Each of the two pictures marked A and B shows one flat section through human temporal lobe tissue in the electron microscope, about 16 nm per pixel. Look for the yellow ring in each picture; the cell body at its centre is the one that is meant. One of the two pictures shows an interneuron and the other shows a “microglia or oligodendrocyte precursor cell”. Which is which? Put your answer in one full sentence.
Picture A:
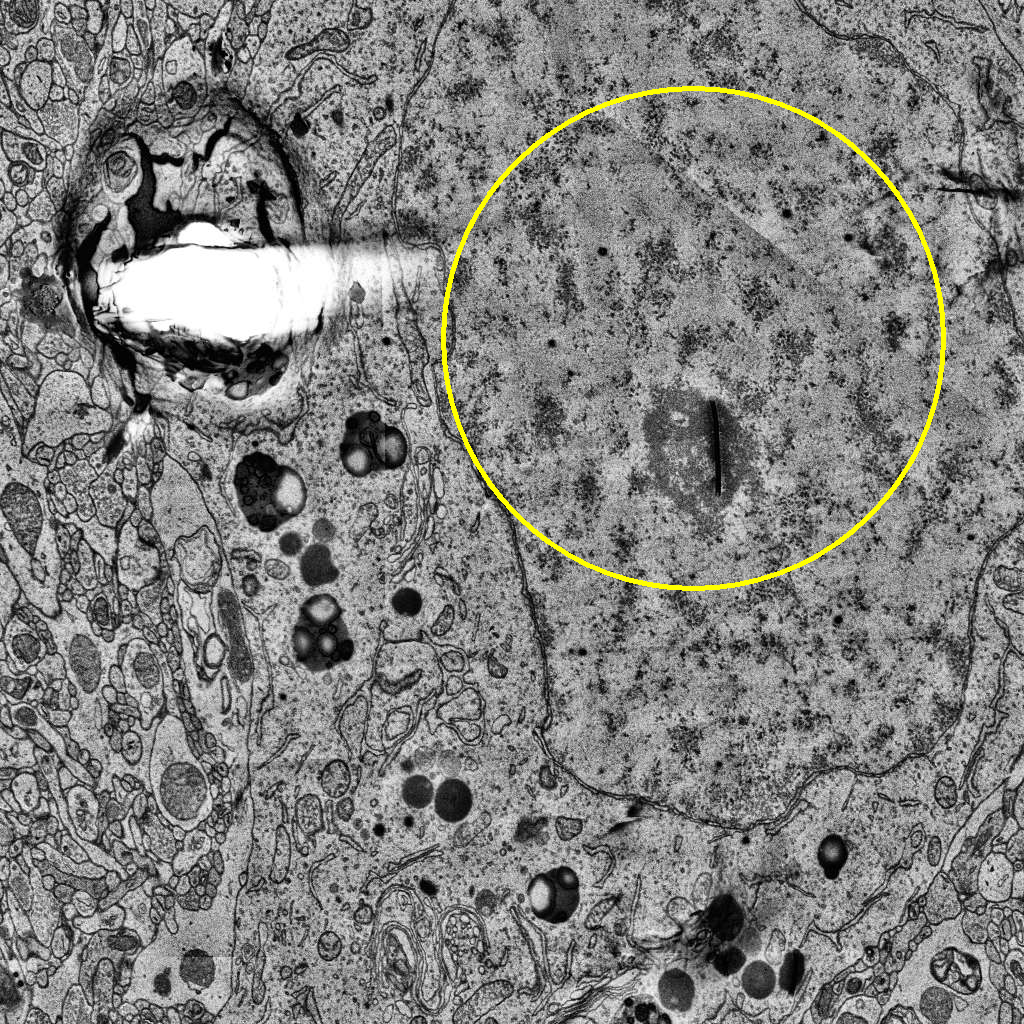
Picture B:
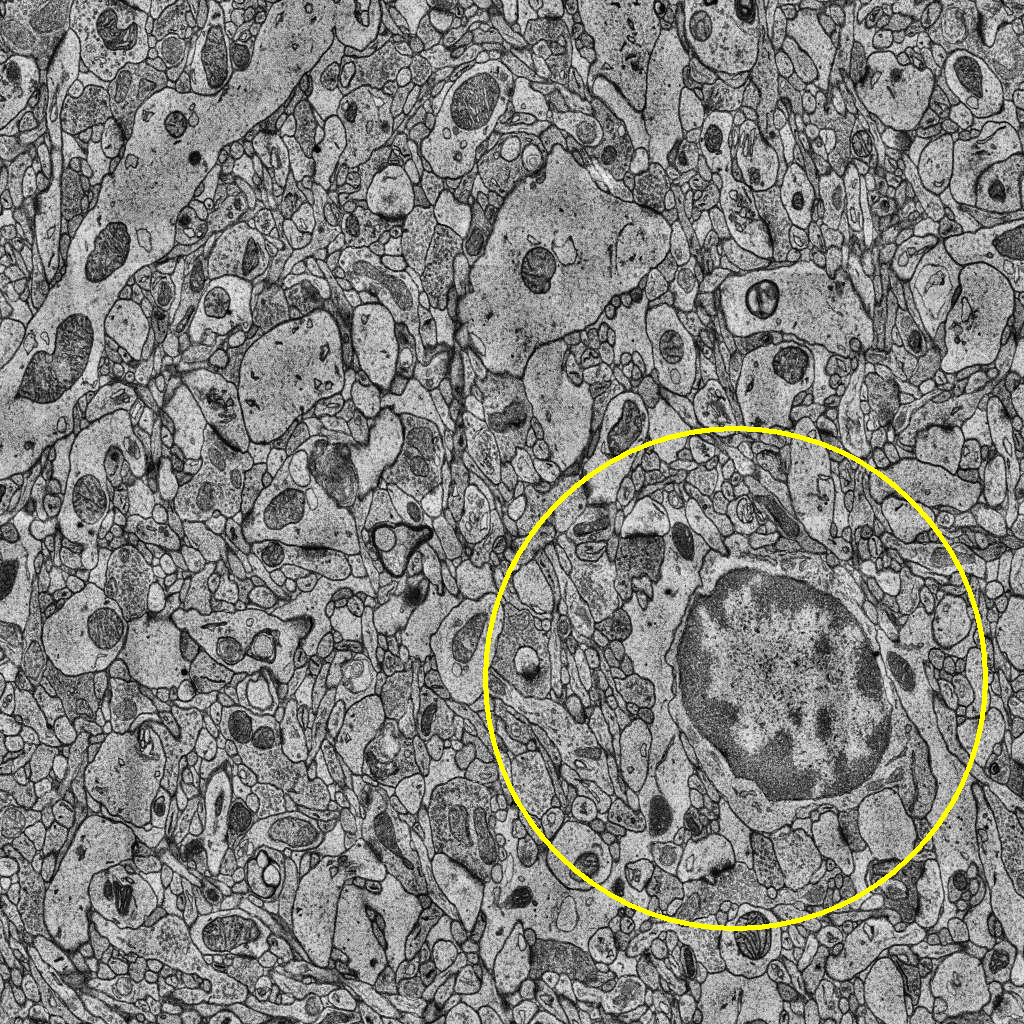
Picture A is of an interneuron, and picture B is of a “microglia or oligodendrocyte precursor cell”.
